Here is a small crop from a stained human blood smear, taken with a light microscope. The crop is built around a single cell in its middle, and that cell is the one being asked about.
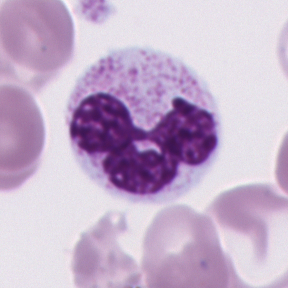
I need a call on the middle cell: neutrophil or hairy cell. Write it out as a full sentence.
The cell that lies at the centre of the crop is a neutrophil.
